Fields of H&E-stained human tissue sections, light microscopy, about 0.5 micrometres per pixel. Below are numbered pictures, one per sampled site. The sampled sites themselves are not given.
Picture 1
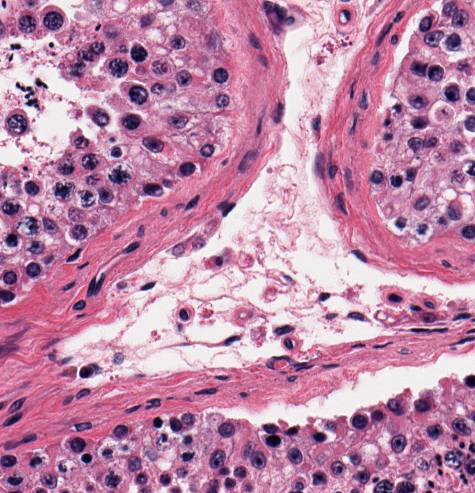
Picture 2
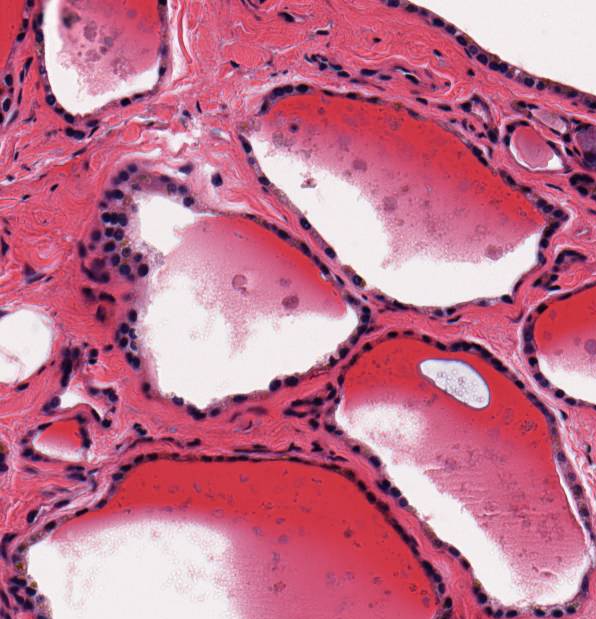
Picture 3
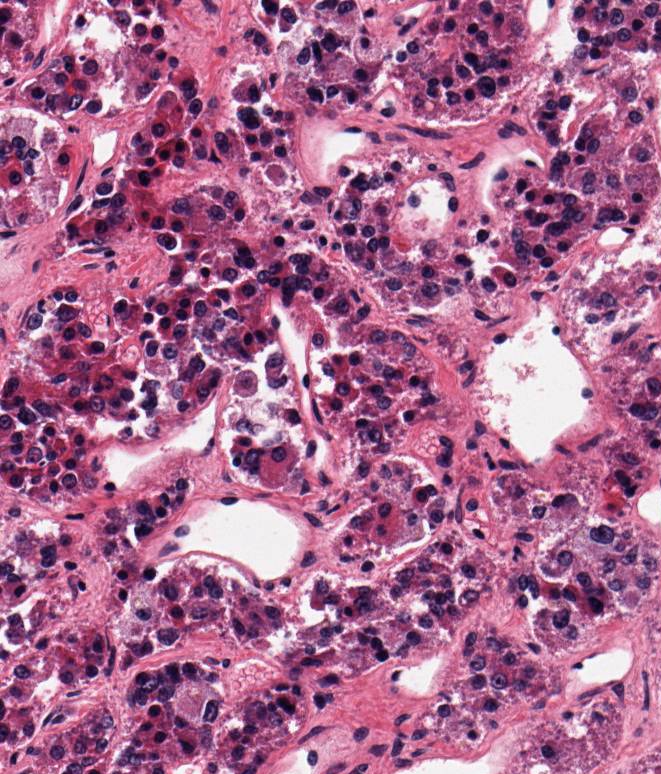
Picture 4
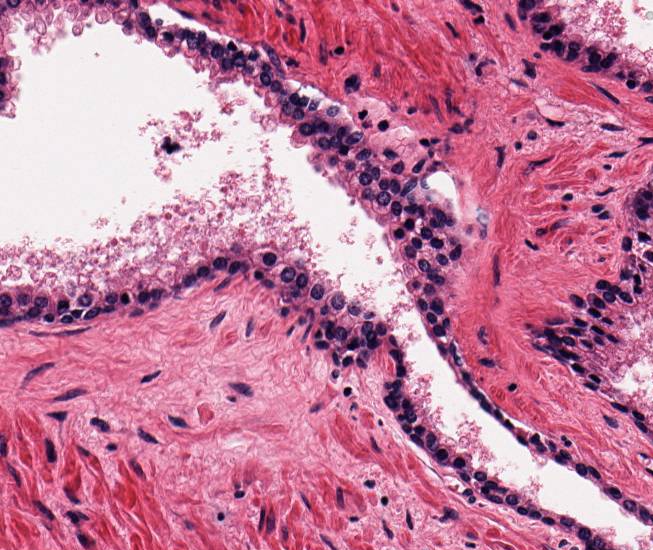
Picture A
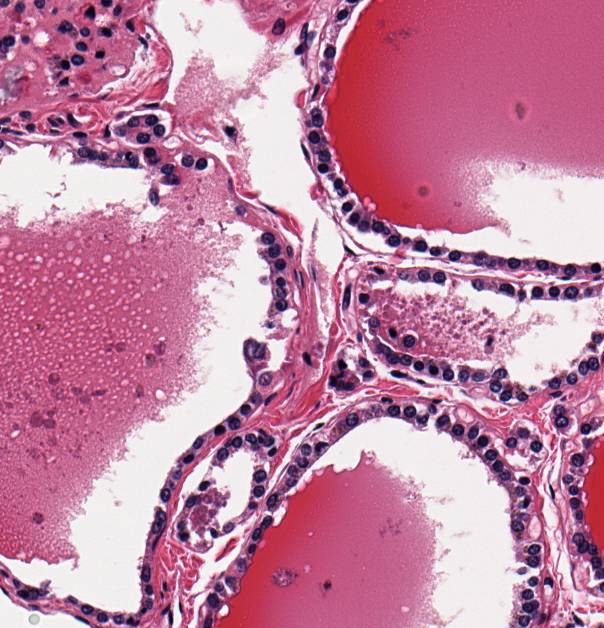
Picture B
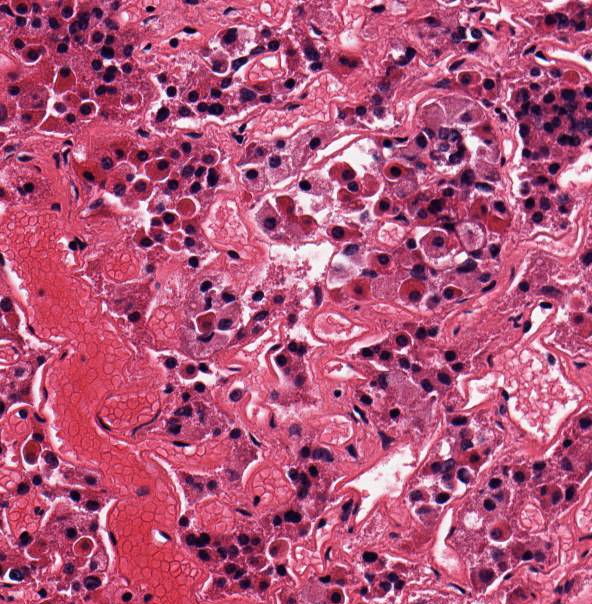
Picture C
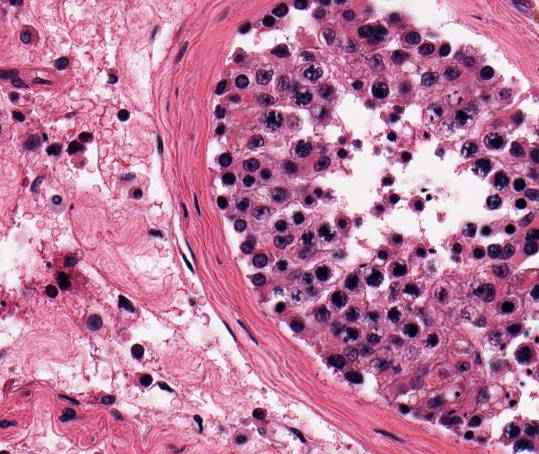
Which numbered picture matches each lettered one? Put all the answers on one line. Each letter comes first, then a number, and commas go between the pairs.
A 2, B 3, C 1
